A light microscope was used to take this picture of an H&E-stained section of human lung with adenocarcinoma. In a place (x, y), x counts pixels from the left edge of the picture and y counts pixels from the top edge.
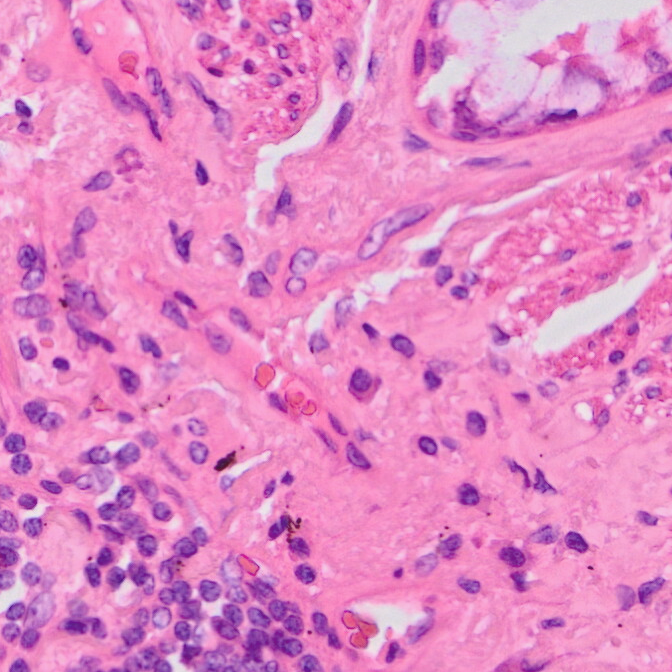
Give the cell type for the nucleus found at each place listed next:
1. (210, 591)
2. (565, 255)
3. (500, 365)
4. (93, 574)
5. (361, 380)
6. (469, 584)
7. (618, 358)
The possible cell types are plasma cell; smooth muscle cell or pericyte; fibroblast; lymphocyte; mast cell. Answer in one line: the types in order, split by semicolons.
lymphocyte; smooth muscle cell or pericyte; fibroblast; lymphocyte; plasma cell; mast cell; smooth muscle cell or pericyte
